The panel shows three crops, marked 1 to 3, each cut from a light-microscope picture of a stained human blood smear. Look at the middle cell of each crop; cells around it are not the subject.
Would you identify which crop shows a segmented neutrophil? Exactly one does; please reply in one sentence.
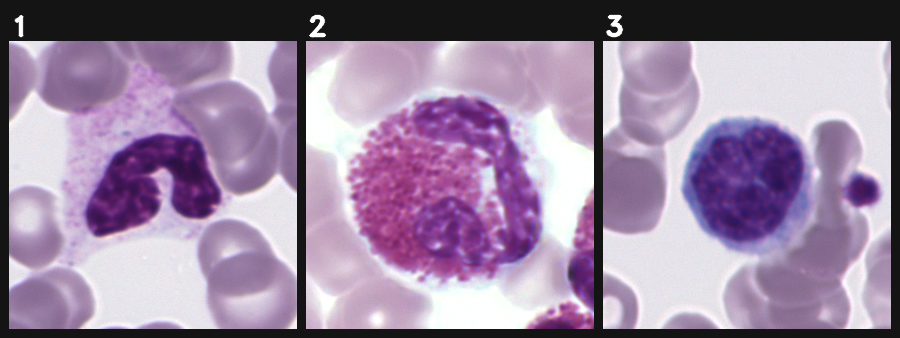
It is crop 1 that shows a segmented neutrophil.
